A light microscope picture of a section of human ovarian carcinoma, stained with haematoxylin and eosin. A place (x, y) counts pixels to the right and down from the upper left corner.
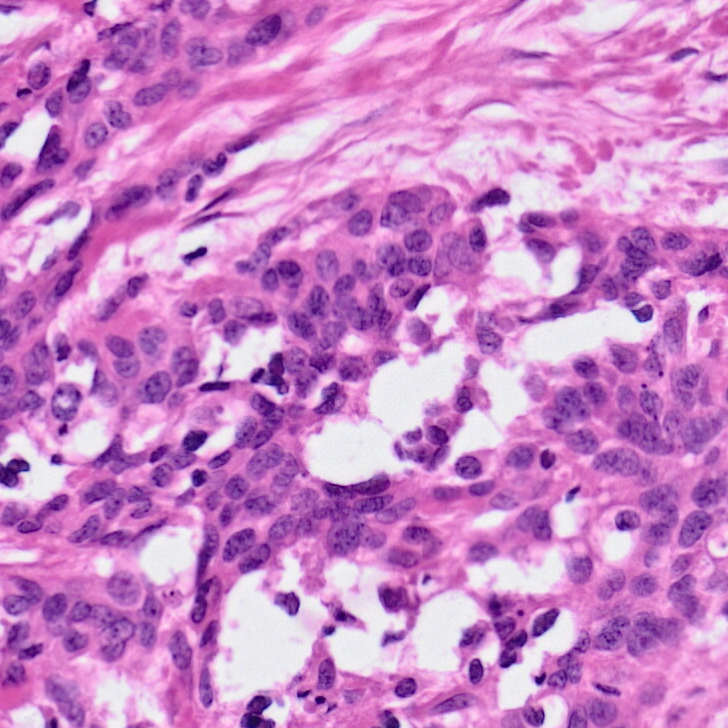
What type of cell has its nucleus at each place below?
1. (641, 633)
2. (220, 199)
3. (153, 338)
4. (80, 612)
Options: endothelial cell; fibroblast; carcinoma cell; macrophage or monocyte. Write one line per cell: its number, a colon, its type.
1: carcinoma cell
2: fibroblast
3: carcinoma cell
4: carcinoma cell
